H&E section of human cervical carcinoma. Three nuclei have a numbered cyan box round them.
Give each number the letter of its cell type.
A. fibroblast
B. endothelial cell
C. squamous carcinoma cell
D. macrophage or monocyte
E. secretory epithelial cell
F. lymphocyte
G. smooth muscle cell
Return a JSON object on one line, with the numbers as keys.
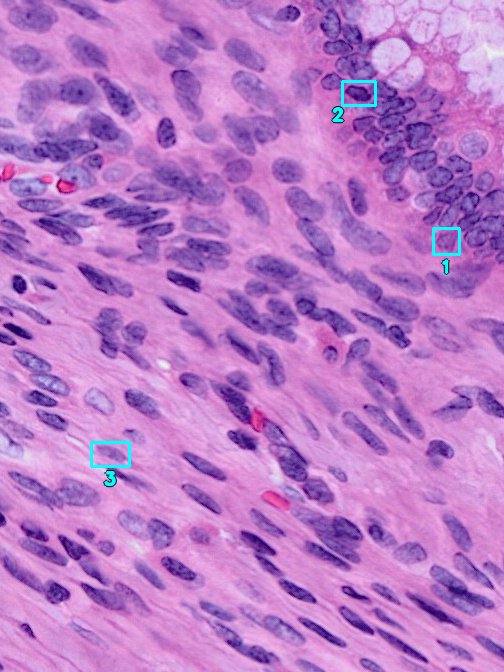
{"1": "E", "2": "E", "3": "A"}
